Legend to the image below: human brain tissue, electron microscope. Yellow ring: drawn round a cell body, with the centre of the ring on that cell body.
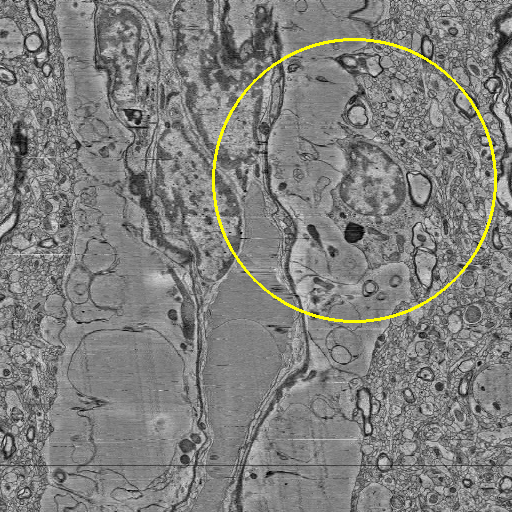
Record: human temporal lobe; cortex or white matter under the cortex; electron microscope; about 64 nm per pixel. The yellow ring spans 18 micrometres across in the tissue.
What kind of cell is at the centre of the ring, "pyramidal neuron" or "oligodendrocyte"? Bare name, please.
oligodendrocyte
